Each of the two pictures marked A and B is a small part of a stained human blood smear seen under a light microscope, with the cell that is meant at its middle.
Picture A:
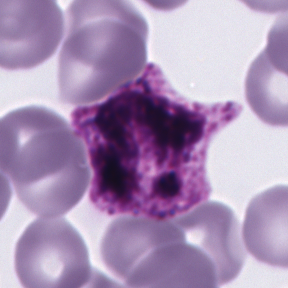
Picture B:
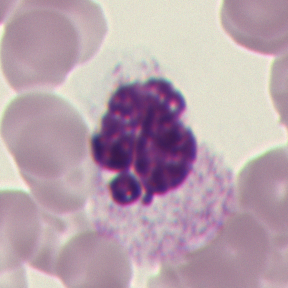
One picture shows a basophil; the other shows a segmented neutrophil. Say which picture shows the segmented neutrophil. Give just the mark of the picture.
B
